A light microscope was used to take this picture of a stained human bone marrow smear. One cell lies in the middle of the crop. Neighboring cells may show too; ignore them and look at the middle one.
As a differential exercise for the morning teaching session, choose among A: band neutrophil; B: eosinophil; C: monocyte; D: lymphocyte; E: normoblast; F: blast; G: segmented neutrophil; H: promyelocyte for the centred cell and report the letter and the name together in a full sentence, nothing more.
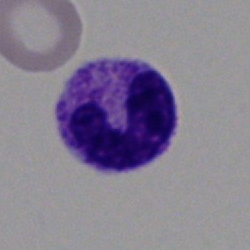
Located in the middle of the crop is a band neutrophil, and option A is therefore correct.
